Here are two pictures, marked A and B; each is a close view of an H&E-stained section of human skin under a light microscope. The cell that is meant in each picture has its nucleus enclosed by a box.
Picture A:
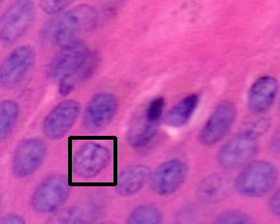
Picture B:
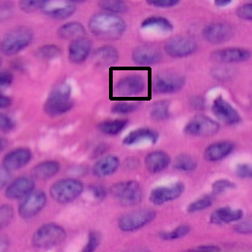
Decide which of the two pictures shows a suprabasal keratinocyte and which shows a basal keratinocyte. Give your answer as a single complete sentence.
In picture A the cell is a suprabasal keratinocyte; in picture B, a basal keratinocyte.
